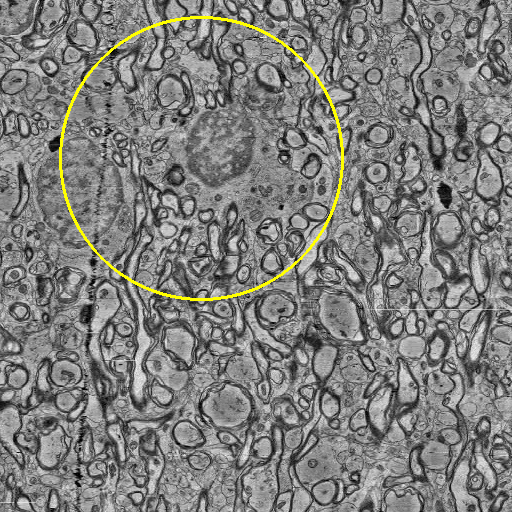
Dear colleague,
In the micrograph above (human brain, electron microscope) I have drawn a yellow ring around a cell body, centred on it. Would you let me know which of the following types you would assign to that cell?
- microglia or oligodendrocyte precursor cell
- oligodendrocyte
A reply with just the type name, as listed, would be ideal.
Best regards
oligodendrocyte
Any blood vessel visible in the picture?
No, there is none.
